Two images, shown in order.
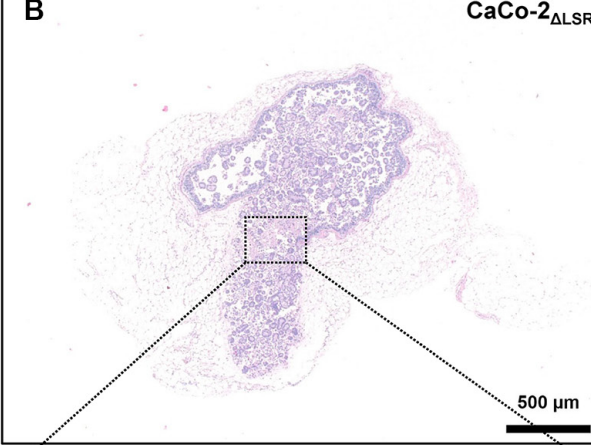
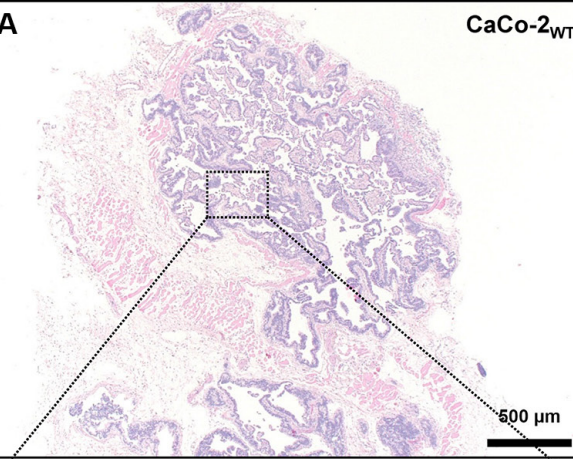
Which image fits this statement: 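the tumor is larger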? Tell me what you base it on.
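First image: a small compact tumor mass occupies only the middle of the field at the same scale.
Conclusion: the second image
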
